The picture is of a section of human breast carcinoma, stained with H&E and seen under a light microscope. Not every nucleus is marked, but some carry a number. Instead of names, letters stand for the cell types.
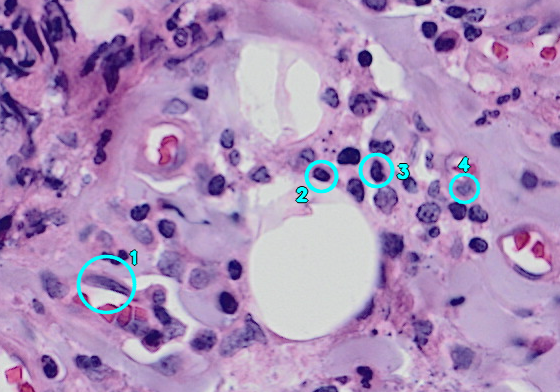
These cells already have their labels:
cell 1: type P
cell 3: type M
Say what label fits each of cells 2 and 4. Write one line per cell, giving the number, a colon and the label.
2: type M
4: type P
